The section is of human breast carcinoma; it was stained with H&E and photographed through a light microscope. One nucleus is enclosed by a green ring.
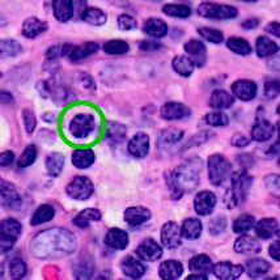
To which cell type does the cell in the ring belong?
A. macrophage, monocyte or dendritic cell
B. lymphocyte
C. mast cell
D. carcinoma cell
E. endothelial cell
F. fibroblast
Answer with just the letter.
B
